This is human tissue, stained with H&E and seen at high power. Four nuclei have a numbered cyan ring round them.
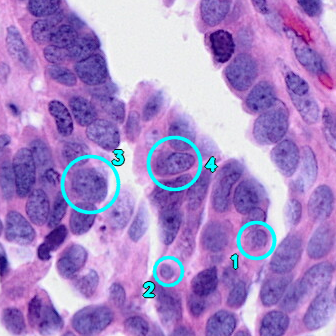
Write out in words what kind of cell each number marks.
Cell 1 is a carcinoma cell, cell 2 is a macrophage or monocyte, cell 3 is a carcinoma cell and cell 4 is a carcinoma cell.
